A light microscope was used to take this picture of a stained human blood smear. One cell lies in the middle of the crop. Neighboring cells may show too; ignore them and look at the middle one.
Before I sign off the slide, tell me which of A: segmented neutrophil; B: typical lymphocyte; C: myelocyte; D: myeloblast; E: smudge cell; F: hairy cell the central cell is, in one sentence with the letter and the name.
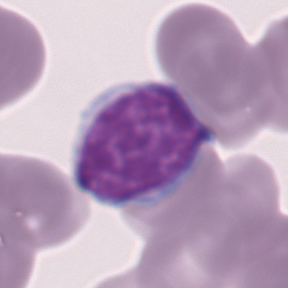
What sits in the middle of the crop is a typical lymphocyte, and option B is correct.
